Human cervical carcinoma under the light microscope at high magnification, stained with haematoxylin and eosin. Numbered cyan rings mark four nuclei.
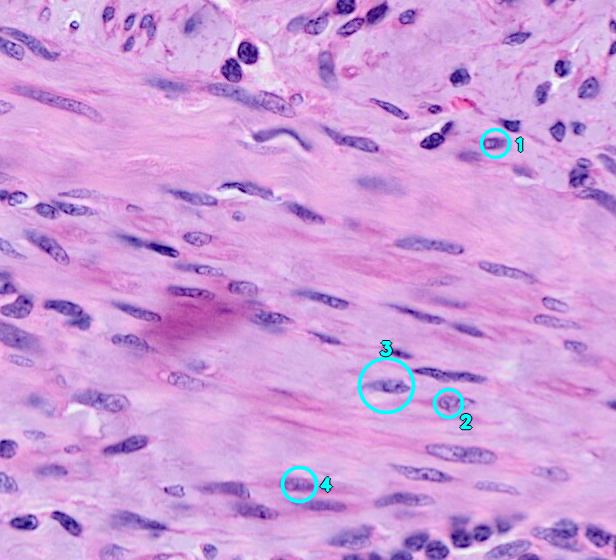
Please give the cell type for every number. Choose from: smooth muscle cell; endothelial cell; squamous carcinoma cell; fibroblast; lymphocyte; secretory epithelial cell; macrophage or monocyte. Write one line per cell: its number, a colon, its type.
1: smooth muscle cell
2: smooth muscle cell
3: fibroblast
4: smooth muscle cell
